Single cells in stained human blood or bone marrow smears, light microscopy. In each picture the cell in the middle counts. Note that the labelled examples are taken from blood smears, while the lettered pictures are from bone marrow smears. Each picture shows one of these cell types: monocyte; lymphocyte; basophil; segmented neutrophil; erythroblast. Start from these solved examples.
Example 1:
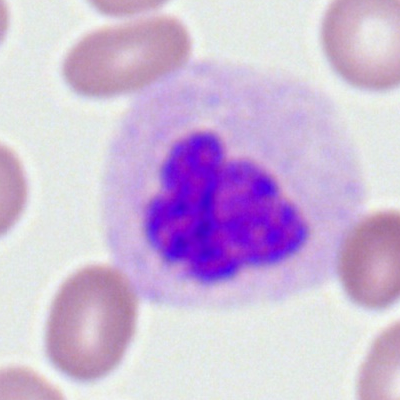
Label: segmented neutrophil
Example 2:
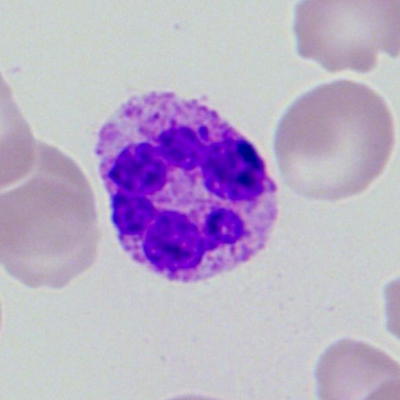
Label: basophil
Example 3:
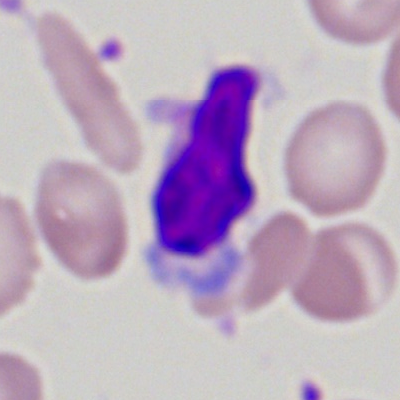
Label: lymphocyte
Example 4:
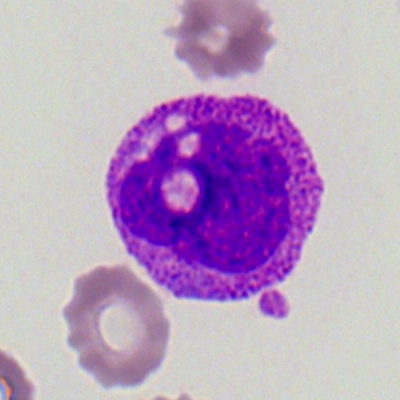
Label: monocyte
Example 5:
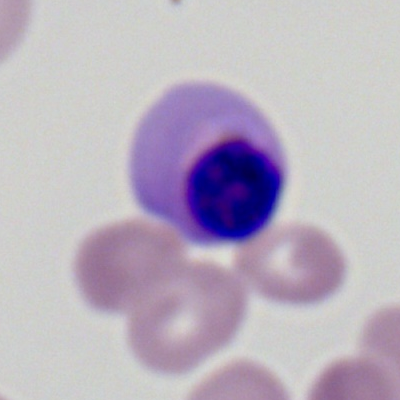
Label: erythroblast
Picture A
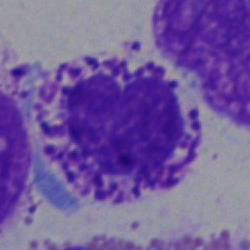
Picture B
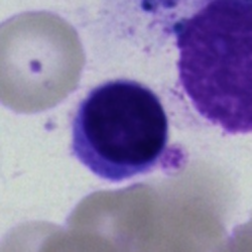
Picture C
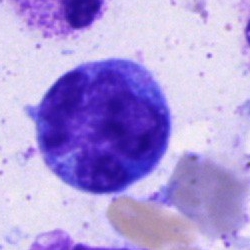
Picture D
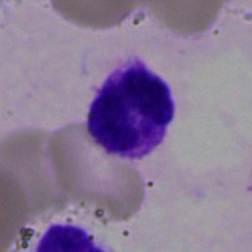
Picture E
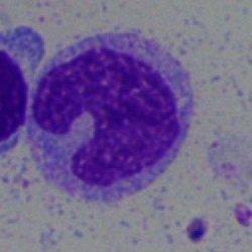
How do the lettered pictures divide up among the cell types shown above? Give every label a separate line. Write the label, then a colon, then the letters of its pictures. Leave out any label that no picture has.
monocyte: C, E
lymphocyte: B
basophil: A, D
